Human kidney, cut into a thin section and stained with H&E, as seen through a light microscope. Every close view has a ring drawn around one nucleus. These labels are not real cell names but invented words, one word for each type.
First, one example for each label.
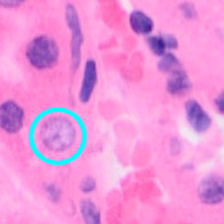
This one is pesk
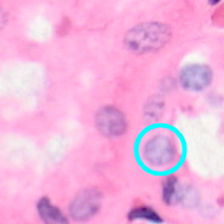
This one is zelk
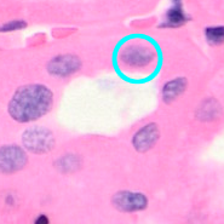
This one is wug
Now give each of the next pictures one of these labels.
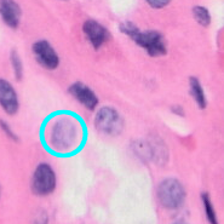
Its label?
zelk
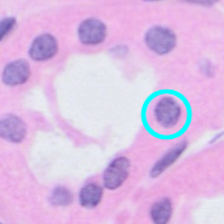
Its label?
wug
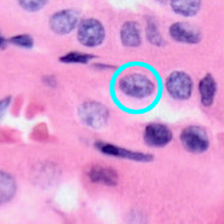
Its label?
wug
